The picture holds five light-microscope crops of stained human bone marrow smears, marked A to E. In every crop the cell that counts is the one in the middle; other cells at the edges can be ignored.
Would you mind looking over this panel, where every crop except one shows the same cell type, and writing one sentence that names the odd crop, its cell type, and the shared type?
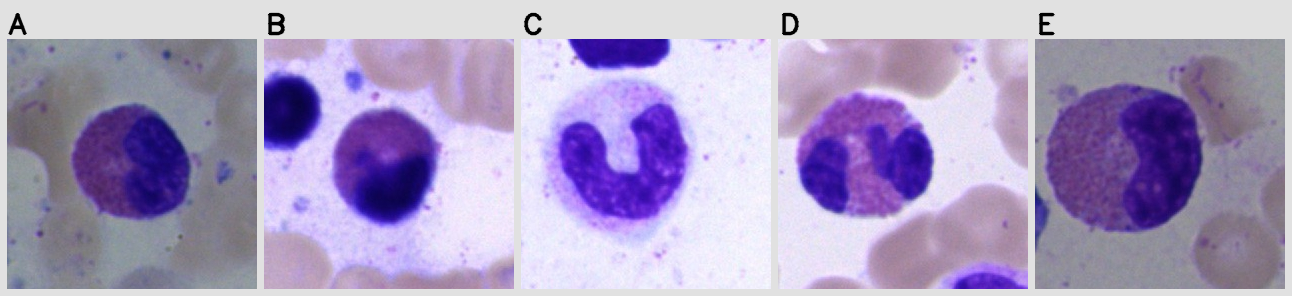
Every crop but one shows eosinophils; the exception, crop C, shows a band neutrophil.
